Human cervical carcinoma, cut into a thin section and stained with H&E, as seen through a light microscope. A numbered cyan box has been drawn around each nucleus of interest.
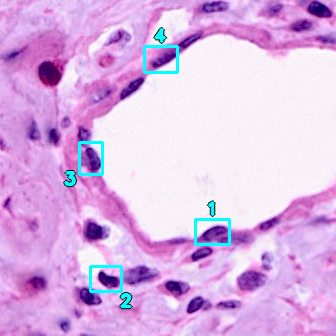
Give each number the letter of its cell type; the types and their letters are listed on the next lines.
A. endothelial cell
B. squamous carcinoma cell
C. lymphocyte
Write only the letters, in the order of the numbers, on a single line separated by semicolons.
A; C; A; A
